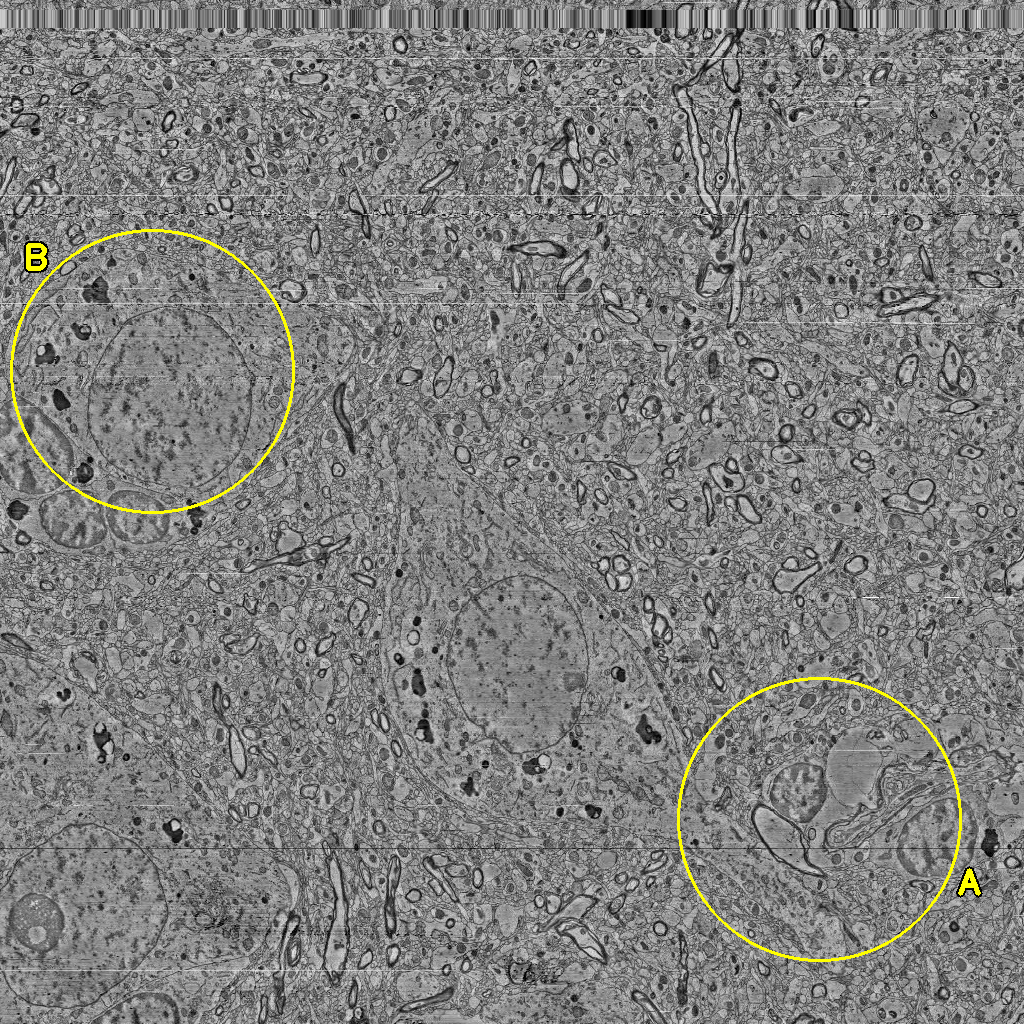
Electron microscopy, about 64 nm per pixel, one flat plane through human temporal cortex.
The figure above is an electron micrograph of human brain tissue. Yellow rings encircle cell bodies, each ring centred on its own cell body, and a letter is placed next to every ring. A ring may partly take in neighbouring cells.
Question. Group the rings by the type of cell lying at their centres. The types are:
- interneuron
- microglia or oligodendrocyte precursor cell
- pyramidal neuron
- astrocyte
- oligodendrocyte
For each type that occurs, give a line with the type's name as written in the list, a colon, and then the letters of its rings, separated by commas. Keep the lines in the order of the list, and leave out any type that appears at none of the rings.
microglia or oligodendrocyte precursor cell: A
pyramidal neuron: B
